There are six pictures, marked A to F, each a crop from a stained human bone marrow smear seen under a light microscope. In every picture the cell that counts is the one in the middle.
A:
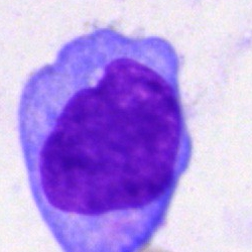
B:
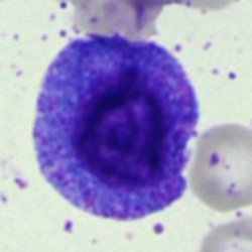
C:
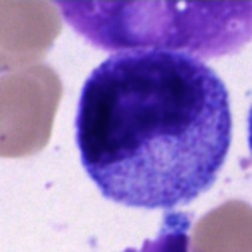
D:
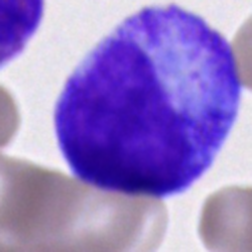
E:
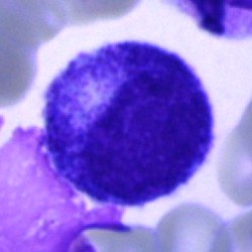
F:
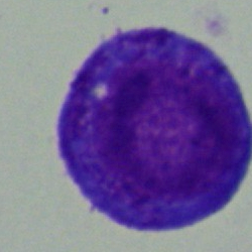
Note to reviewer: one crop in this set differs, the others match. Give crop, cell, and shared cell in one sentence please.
Crop A is a blast, and the other crops all show promyelocytes.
